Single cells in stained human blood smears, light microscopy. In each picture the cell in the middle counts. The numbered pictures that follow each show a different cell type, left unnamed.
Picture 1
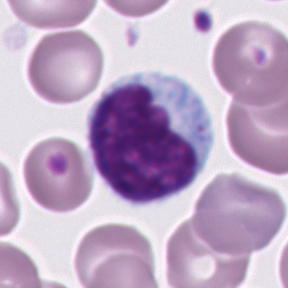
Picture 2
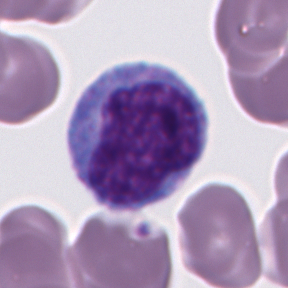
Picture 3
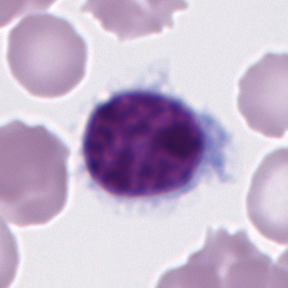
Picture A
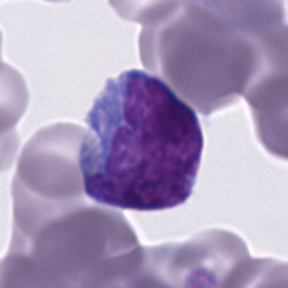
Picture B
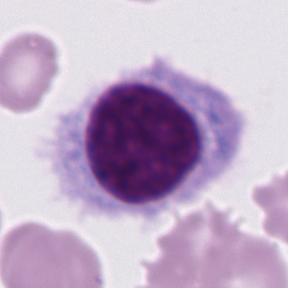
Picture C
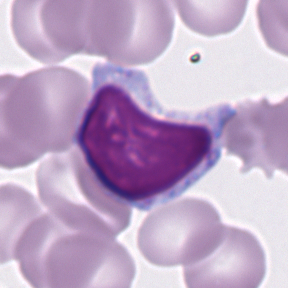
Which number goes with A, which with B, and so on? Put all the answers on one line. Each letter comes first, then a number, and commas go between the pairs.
A 2, B 3, C 1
